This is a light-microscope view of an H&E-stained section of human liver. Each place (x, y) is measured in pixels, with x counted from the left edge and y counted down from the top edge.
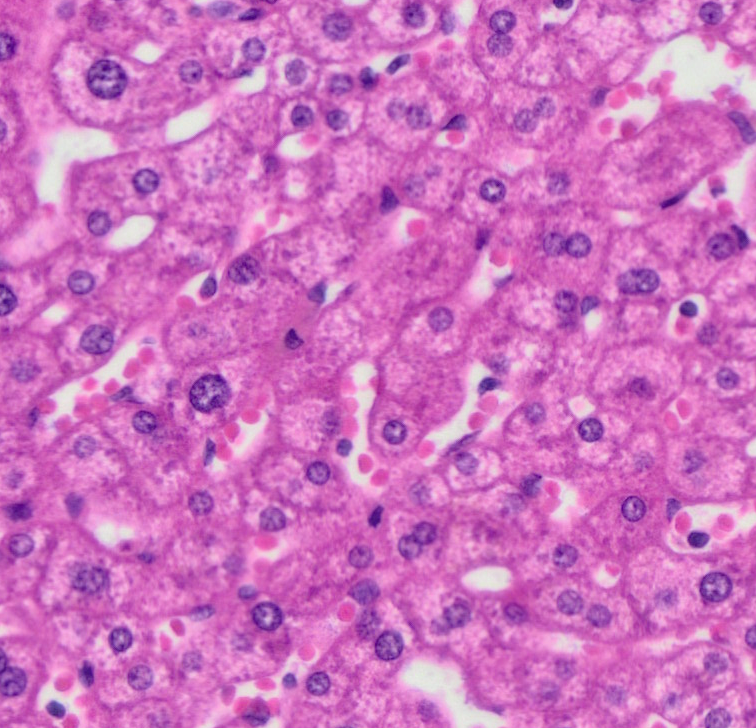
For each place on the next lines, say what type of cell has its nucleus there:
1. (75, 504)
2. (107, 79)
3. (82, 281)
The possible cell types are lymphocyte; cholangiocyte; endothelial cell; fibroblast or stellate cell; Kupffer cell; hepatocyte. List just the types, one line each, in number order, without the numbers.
endothelial cell
hepatocyte
hepatocyte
